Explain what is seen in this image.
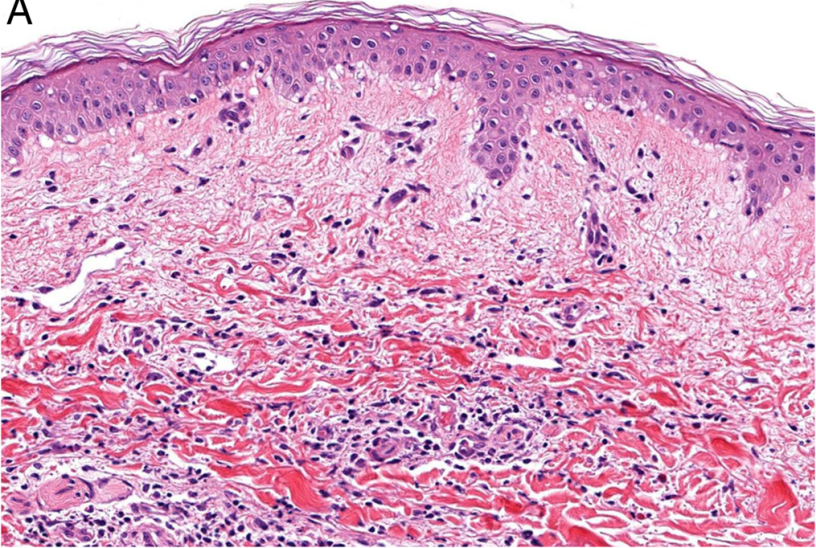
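This is skin at medium power, with the epidermis on top and the dermis beneath. The epidermis is a purple stratified squamous layer with a thin layer of basket-weave keratin on its surface. A few small clear spaces may be present along its base. The dermis directly below is pale and loose, a sign of edema, while deeper down the collagen bundles are denser and bright pink. Small dark nuclei of inflammatory cells cluster around the small vessels of the upper dermis. Nowhere is there a patch of dead tissue.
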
